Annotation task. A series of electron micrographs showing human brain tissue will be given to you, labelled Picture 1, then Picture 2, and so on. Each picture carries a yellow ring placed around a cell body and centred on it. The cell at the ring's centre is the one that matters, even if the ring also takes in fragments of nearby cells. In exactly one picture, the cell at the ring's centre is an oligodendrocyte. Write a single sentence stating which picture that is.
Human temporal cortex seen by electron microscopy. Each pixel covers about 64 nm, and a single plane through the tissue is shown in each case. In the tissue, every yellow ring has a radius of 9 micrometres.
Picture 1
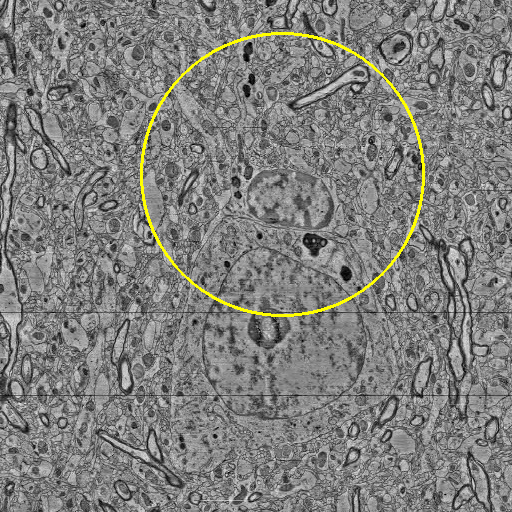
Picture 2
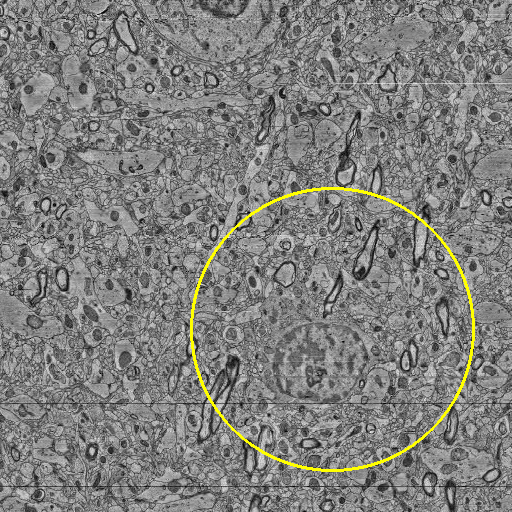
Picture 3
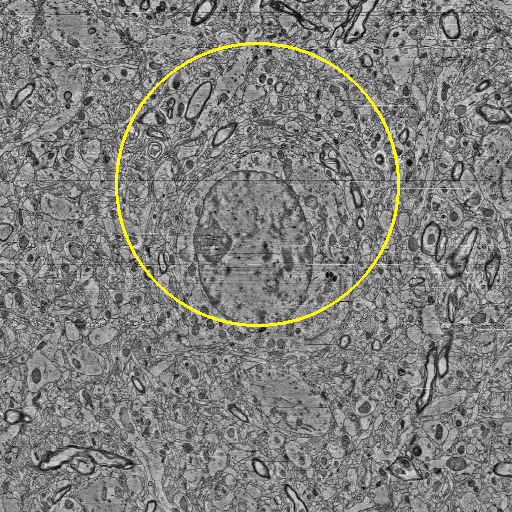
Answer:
Picture 2 holds the requested cell at the very centre of its ring.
